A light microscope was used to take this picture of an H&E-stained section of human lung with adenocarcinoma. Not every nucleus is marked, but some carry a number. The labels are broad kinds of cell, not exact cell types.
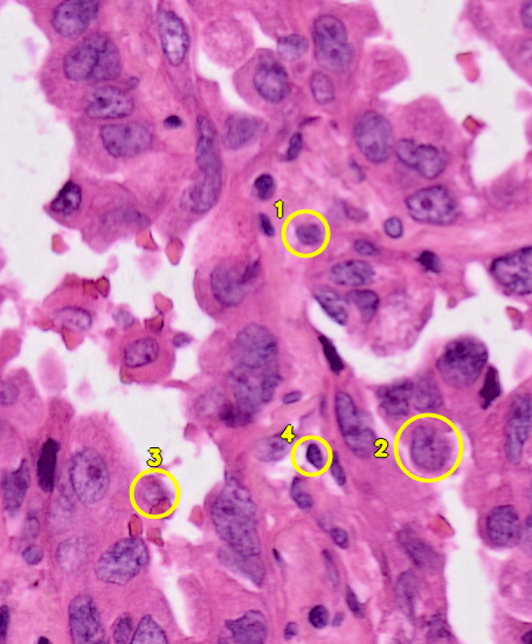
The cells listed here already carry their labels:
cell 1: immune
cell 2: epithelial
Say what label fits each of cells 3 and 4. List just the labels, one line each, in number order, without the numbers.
immune
immune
